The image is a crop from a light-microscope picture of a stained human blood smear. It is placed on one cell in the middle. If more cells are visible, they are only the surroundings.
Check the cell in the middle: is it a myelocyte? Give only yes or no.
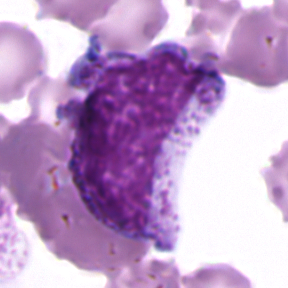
no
